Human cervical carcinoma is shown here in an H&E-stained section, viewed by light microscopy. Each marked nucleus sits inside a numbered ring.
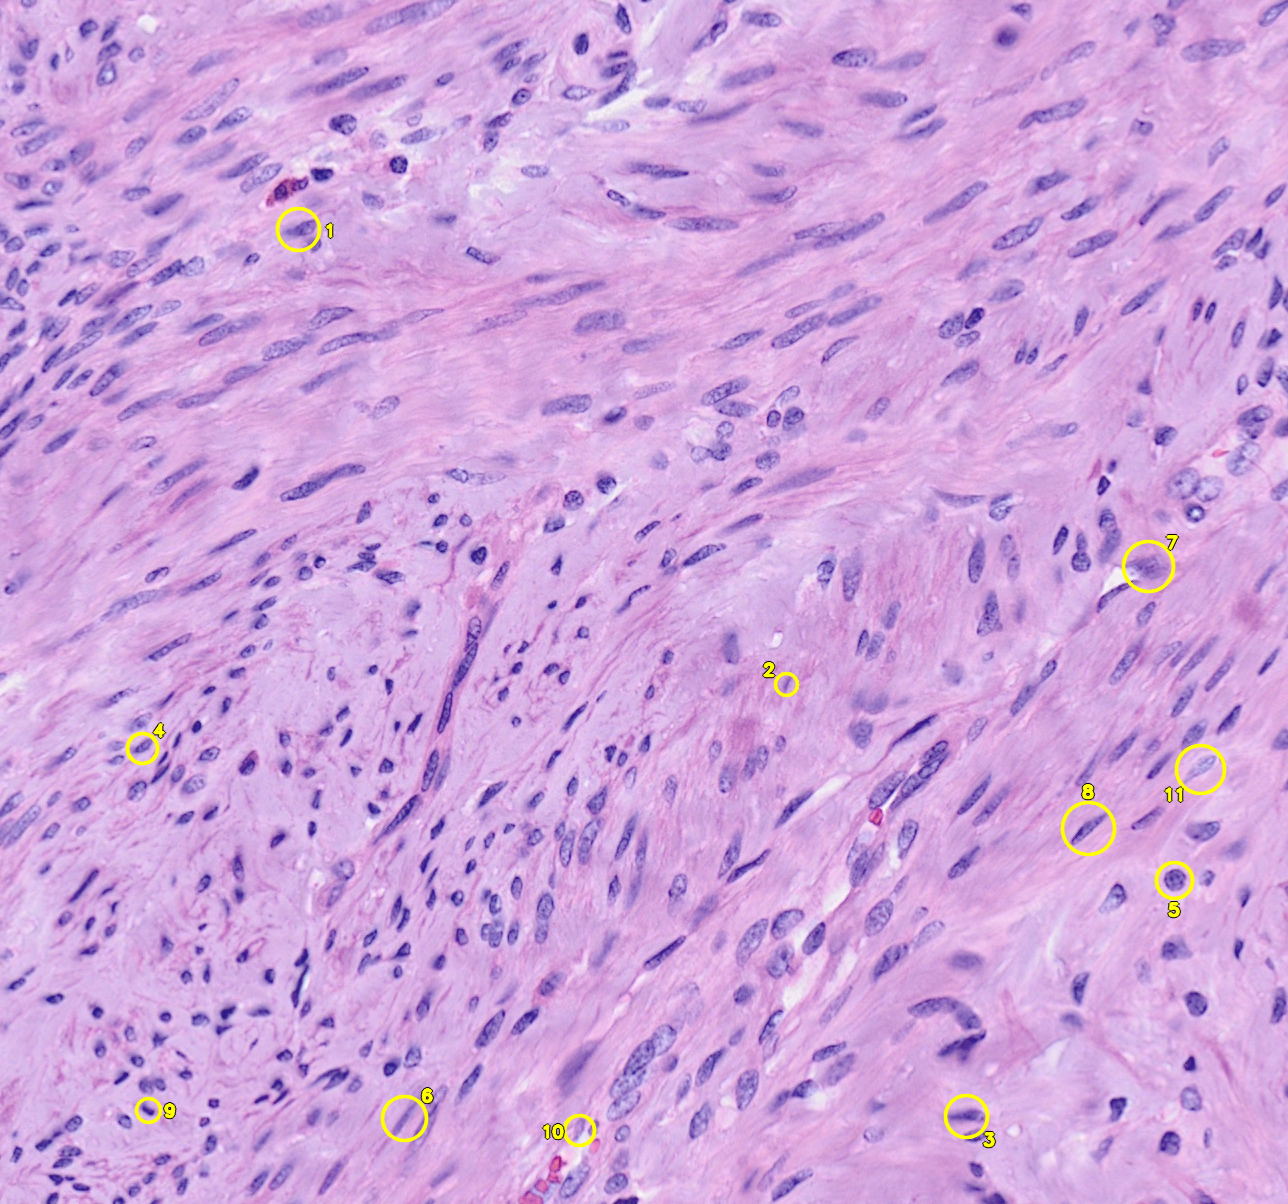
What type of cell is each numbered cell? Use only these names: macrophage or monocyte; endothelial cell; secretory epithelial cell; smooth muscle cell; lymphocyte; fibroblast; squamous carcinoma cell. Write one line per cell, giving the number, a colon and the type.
1: fibroblast
2: smooth muscle cell
3: fibroblast
4: smooth muscle cell
5: lymphocyte
6: smooth muscle cell
7: endothelial cell
8: fibroblast
9: fibroblast
10: endothelial cell
11: fibroblast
